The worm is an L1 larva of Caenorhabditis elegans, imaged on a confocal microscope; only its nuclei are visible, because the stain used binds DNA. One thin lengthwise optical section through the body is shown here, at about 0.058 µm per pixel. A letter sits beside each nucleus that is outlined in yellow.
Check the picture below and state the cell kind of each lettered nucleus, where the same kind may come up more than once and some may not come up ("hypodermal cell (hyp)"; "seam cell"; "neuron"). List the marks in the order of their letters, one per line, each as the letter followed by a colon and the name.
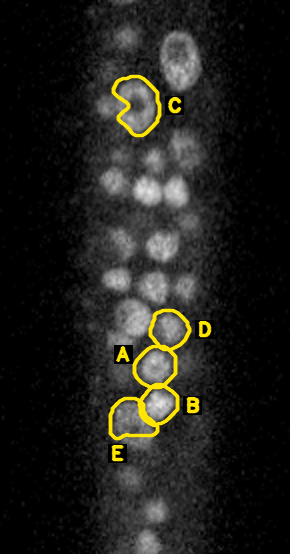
A: neuron
B: neuron
C: seam cell
D: neuron
E: seam cell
